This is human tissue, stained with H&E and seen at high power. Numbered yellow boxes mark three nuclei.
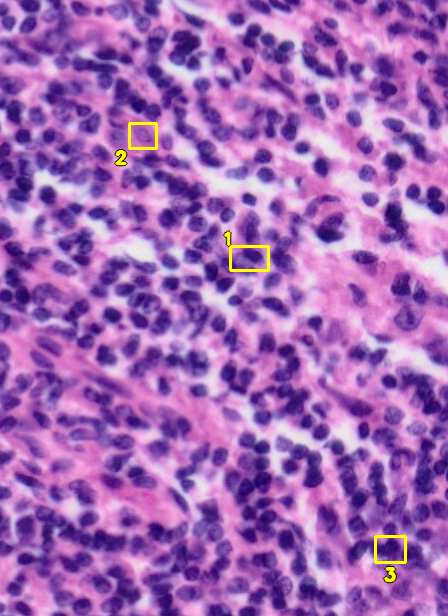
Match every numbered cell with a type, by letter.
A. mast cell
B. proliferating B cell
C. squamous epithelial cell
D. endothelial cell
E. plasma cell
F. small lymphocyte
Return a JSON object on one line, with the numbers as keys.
{"1": "B", "2": "D", "3": "F"}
